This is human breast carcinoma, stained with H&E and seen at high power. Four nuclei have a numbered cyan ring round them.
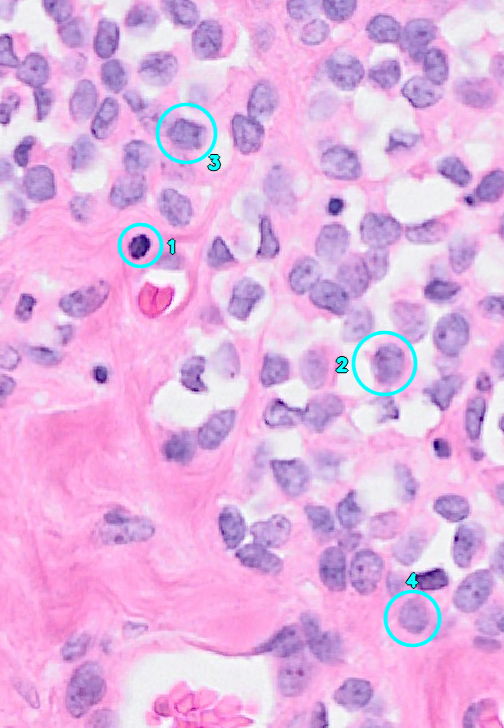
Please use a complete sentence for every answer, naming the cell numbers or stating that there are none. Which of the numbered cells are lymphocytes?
No marked cell except number 1 is a lymphocyte.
